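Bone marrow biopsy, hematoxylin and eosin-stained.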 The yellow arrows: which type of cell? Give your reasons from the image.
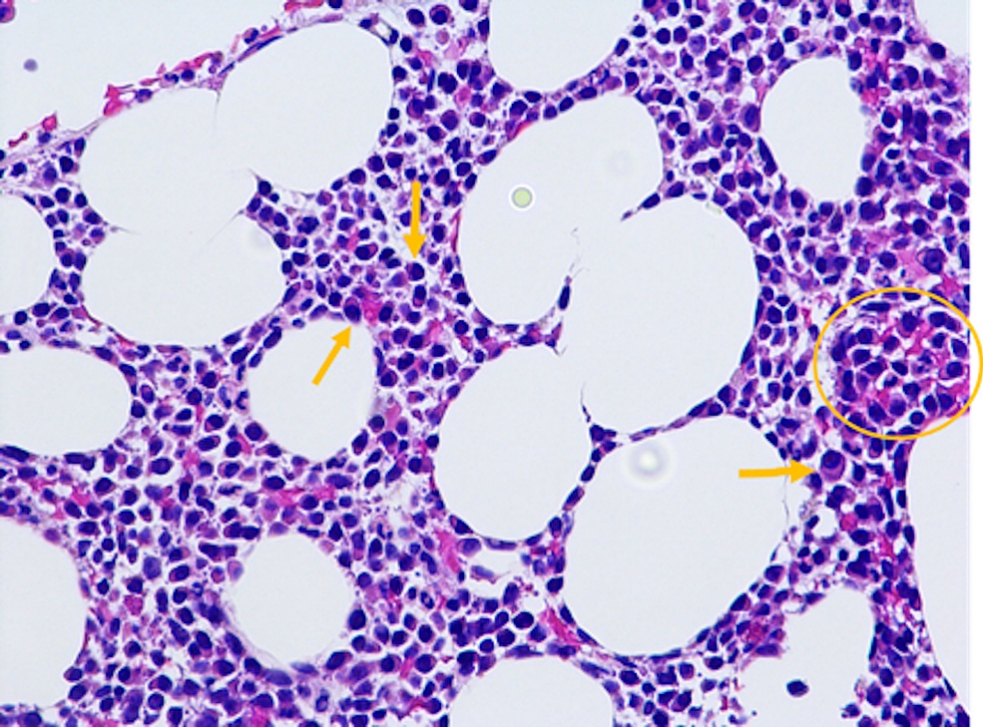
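The marked cells have round, eccentrically placed dark nuclei. The marked cells have a rim of purple cytoplasm to one side of the nucleus. That points to this answer: plasma cells.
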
